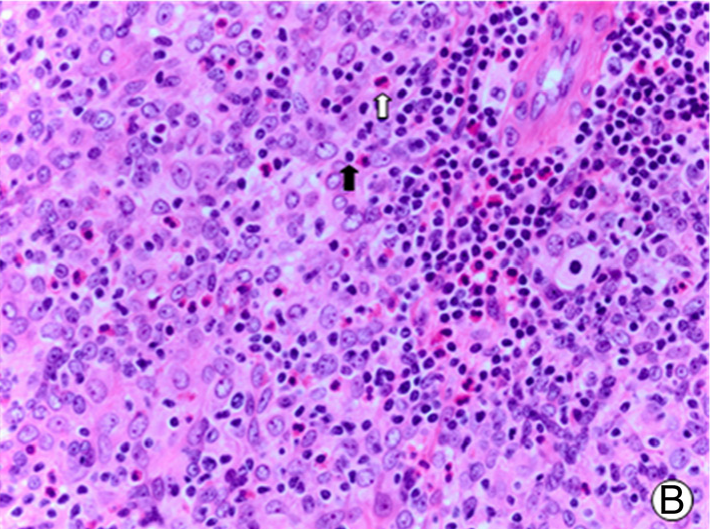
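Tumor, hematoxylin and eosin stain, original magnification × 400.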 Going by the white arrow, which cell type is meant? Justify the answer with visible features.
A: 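Eosinophil. The arrow points at a cell with bright red-pink granular cytoplasm. Several similar bright red cells are scattered through the field.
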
